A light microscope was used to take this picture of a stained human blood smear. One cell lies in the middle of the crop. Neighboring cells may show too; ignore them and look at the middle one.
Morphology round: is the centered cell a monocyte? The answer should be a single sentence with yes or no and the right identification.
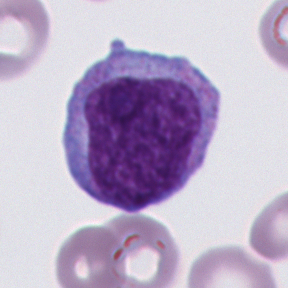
No, the cell at the centre of the crop corresponds to an atypical promyelocyte, not a monocyte.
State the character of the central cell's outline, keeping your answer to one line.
The outline of this cell is not smooth but ragged or drawn out into projections.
